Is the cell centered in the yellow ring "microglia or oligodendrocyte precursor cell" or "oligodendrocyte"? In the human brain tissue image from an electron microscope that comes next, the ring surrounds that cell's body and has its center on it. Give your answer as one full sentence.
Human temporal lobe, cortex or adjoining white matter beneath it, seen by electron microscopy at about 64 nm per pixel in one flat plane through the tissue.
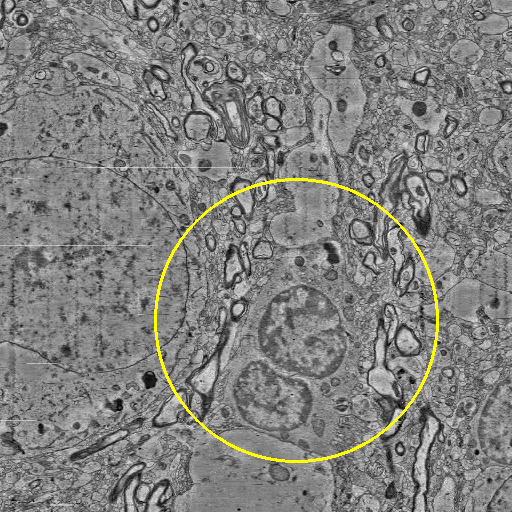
The cell at the center of the yellow ring is an oligodendrocyte in the micrograph.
